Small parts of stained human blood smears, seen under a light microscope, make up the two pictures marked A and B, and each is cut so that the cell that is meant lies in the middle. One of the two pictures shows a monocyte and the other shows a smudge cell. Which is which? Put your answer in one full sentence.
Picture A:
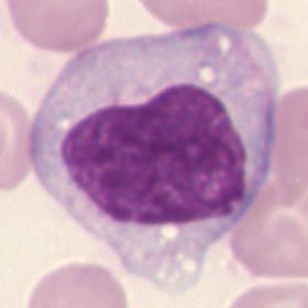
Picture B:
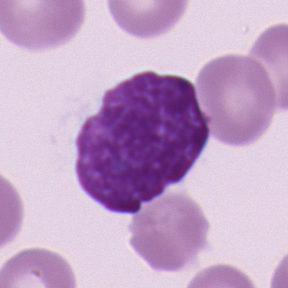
It is picture A that shows a monocyte, and picture B that shows a smudge cell.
